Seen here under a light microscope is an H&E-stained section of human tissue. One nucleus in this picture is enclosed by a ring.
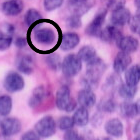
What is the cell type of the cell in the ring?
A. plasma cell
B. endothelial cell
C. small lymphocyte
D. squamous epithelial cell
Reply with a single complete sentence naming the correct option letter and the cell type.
Here the correct option is C, since the cell in the ring is a small lymphocyte.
